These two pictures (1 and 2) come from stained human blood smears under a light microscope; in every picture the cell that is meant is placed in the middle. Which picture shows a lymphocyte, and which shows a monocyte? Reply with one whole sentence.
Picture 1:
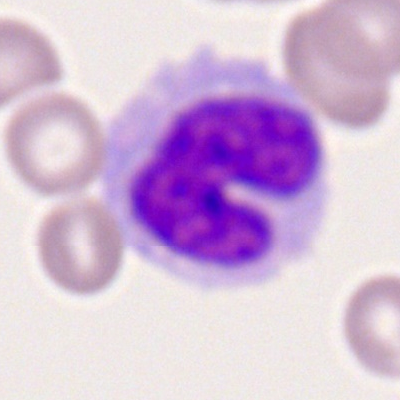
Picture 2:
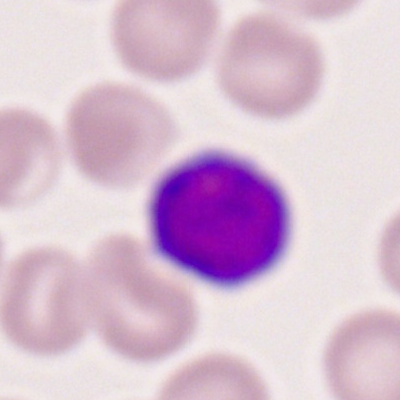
The cell in picture 1 is a monocyte, and the one in picture 2 is a lymphocyte.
